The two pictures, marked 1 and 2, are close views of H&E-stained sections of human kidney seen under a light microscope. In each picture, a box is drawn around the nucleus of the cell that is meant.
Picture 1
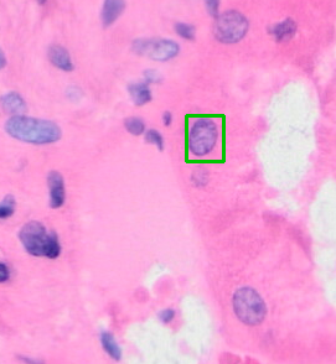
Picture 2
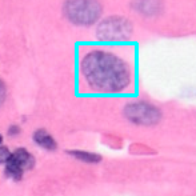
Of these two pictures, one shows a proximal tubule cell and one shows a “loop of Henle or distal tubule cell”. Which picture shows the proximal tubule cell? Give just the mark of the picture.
1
